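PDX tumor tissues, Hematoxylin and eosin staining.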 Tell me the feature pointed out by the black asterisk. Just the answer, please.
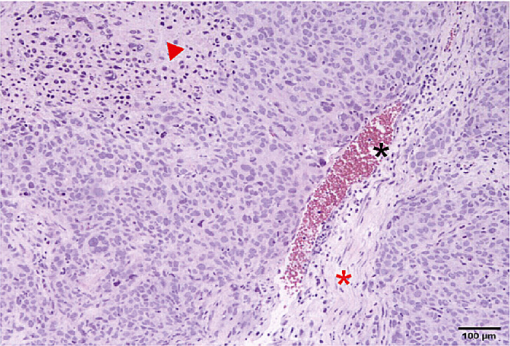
Enlarged “staghorn” blood vessels.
